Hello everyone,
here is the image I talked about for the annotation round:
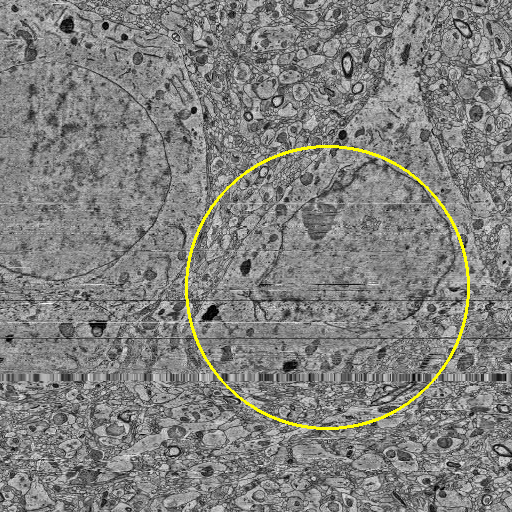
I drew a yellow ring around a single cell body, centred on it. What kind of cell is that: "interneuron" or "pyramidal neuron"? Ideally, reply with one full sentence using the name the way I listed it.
The cell your yellow ring is centred on is a pyramidal neuron, going by your list.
